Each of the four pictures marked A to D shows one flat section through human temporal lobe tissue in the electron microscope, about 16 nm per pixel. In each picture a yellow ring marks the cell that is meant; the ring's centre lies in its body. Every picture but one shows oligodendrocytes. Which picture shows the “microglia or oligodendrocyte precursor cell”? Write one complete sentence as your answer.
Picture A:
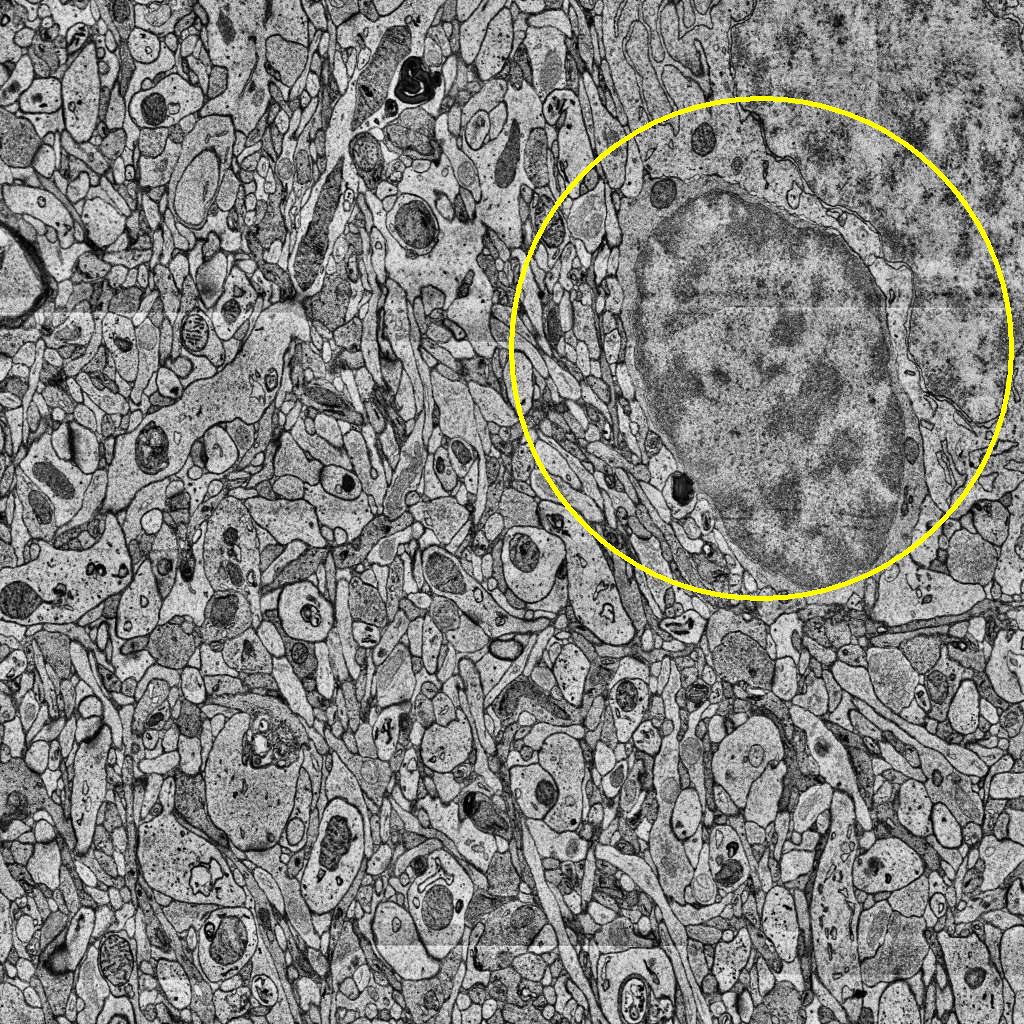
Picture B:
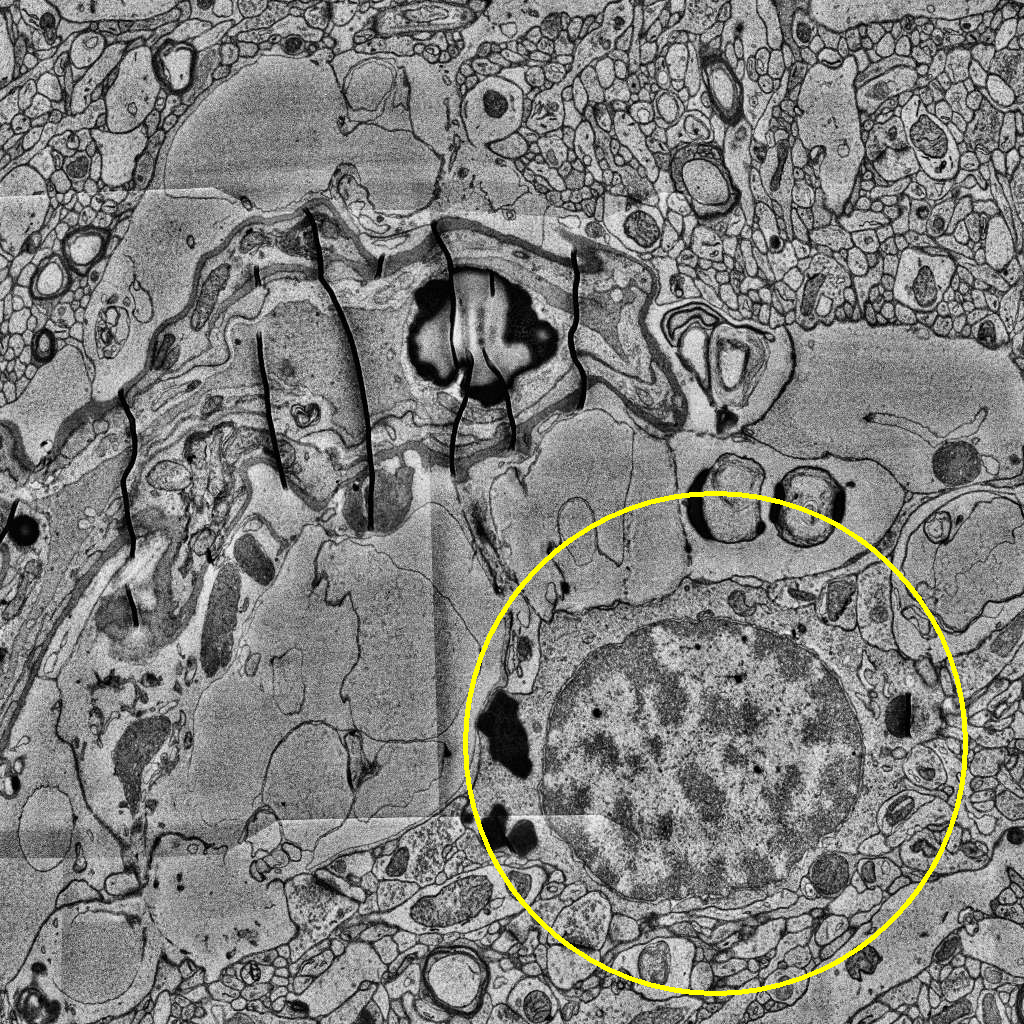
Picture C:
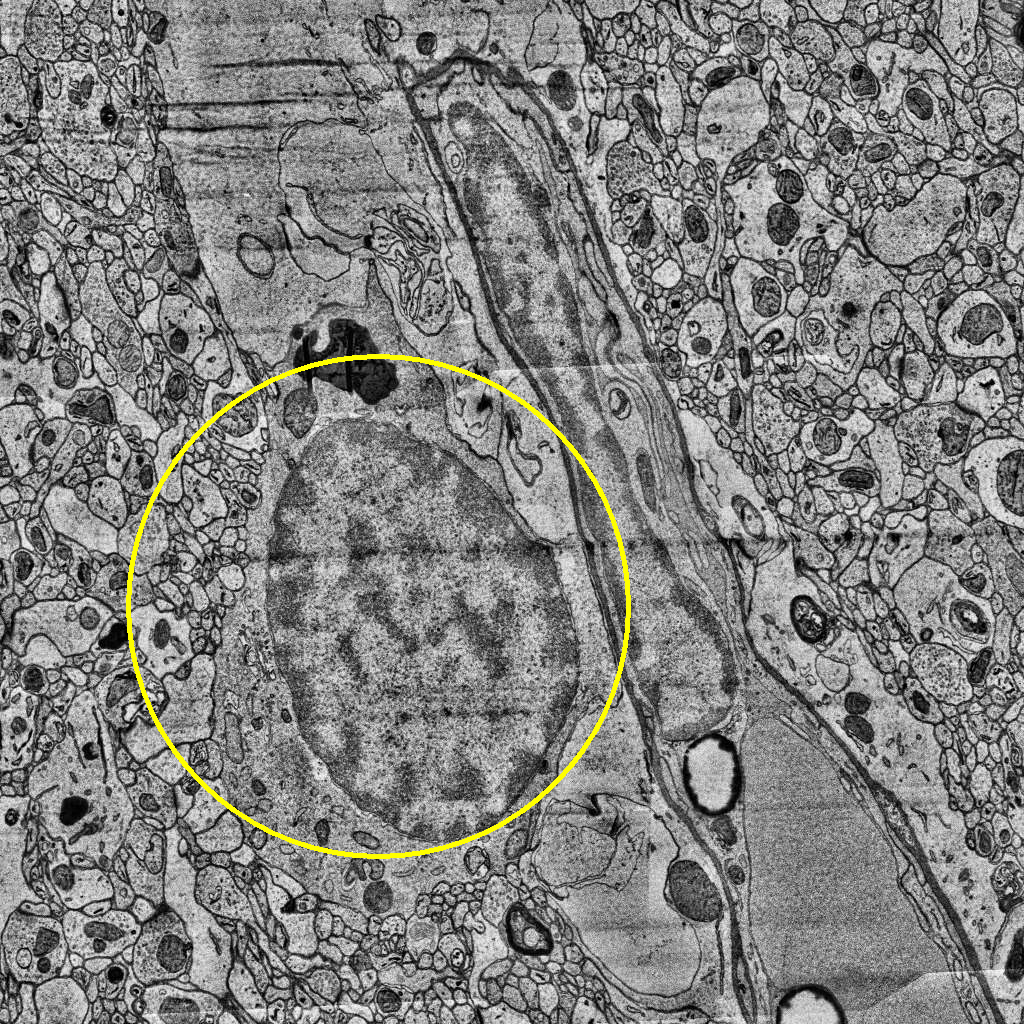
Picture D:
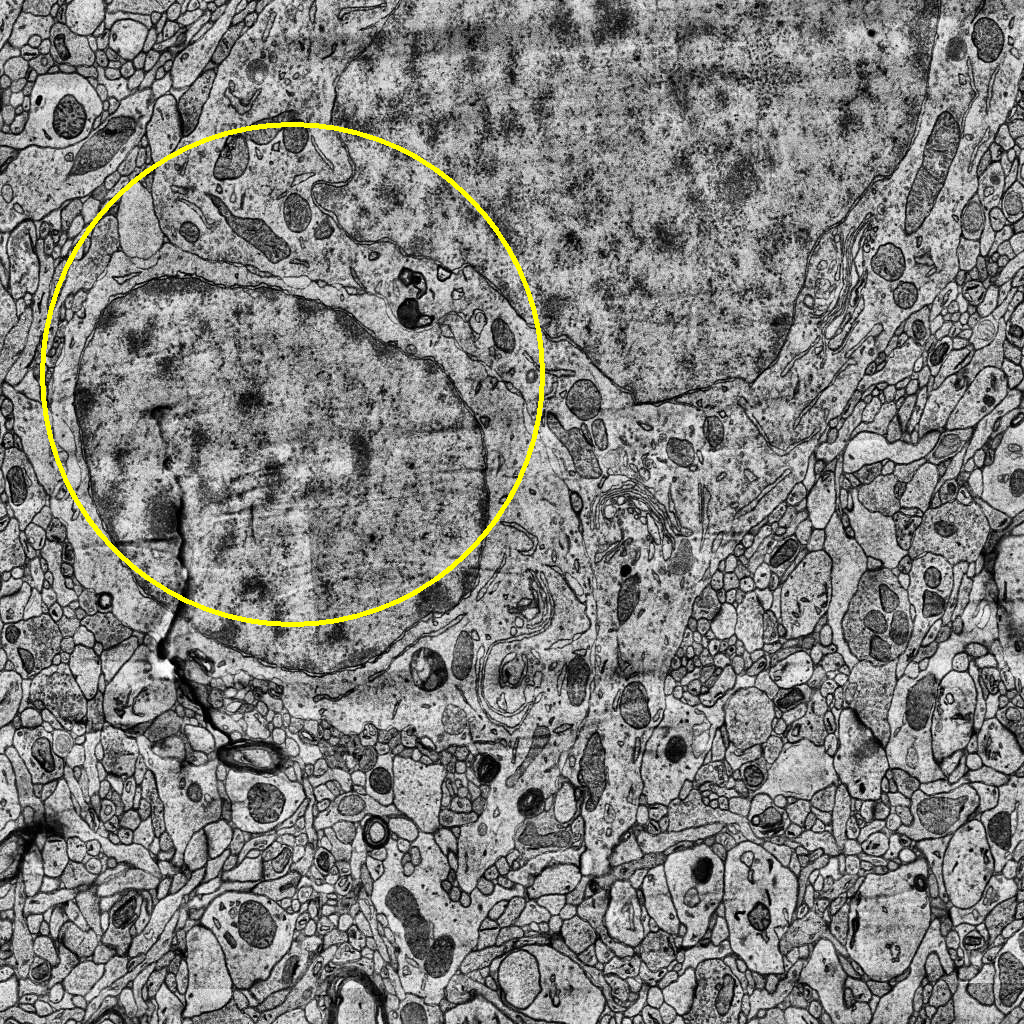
The picture with the “microglia or oligodendrocyte precursor cell” is D.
